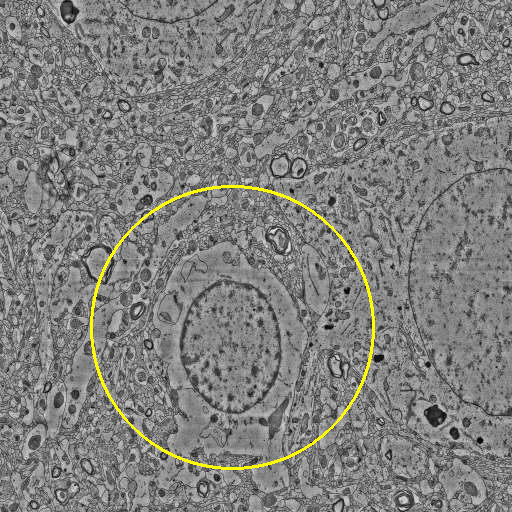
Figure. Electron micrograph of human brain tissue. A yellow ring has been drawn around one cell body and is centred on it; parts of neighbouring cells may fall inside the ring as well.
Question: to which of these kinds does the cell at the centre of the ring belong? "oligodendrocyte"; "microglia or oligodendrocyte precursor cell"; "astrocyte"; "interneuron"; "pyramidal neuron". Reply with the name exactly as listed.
astrocyte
